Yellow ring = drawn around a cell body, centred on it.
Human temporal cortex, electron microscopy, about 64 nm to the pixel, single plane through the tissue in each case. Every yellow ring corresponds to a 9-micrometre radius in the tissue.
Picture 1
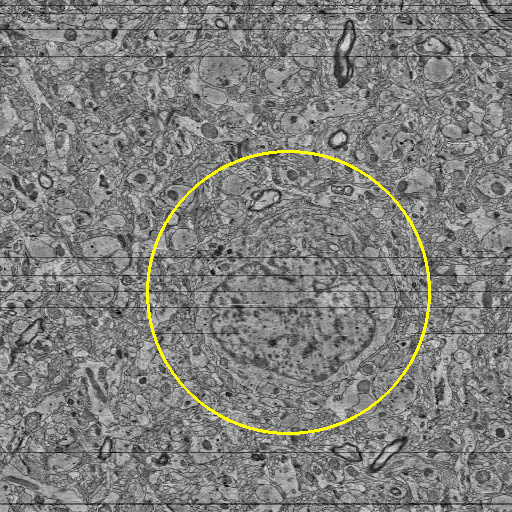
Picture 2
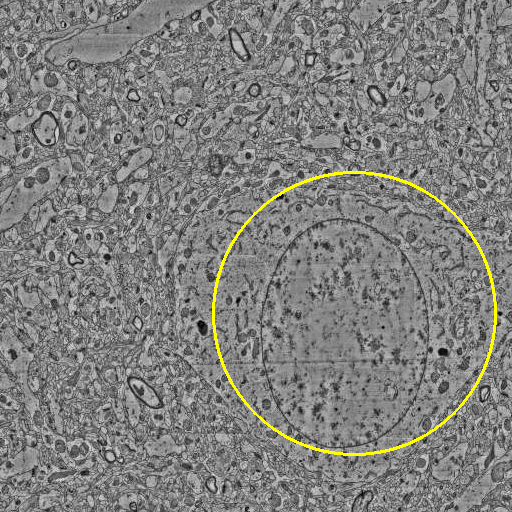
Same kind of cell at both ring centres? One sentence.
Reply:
No, they are two kinds of cell.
